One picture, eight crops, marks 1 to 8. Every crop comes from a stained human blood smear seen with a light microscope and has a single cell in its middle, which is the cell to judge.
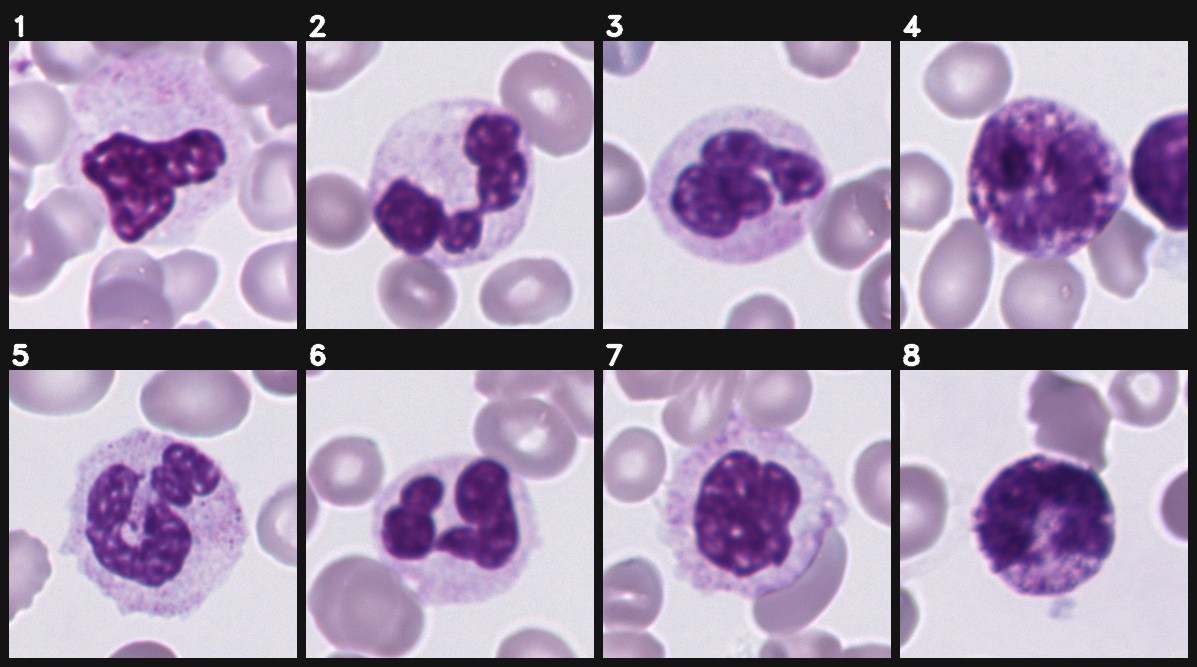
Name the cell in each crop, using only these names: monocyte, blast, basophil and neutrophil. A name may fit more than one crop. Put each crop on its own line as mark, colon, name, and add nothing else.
1: neutrophil
2: neutrophil
3: neutrophil
4: basophil
5: neutrophil
6: neutrophil
7: neutrophil
8: basophil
